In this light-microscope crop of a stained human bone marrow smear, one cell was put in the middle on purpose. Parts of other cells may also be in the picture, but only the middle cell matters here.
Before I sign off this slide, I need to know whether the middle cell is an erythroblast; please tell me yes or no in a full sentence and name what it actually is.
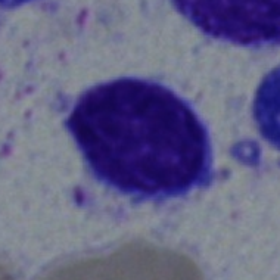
No, the middle cell is classified as a lymphocyte and not as an erythroblast.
